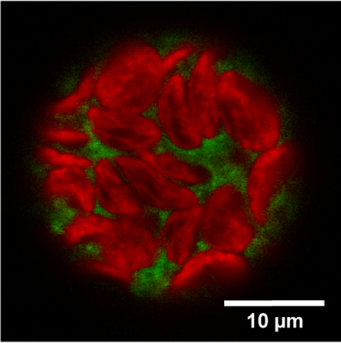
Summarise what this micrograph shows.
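A single round mesophyll protoplast, about twenty-five micrometres across, is seen in optical section. It is crowded with many chloroplasts, shown in red as flattened lens- or disc-shaped bodies, some seen face-on and others edge-on as curved crescents, lying close together throughout the cell and along its margin. Green fluorescence lies in the narrow spaces between the chloroplasts and in patches near the periphery, outlining them without overlapping them, so the chloroplasts appear as red islands within a green network of cytosol. No cell wall outline is visible; the cell edge is smooth and rounded.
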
